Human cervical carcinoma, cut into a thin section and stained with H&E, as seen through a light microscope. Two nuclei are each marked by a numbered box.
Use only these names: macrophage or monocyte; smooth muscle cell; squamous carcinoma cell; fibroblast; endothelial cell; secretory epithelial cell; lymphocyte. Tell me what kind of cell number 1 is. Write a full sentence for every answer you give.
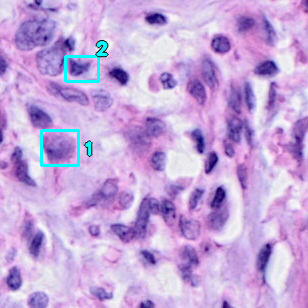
Numbered cell 1 is a macrophage or monocyte in this tissue section.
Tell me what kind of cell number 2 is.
Cell 2 of the marked set is a lymphocyte.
